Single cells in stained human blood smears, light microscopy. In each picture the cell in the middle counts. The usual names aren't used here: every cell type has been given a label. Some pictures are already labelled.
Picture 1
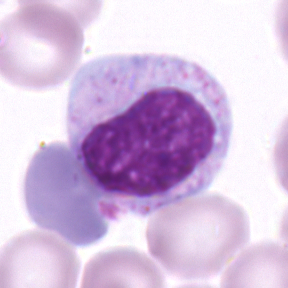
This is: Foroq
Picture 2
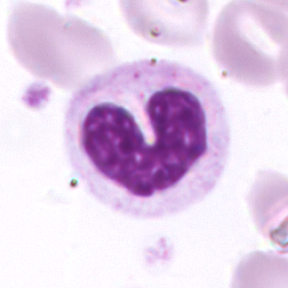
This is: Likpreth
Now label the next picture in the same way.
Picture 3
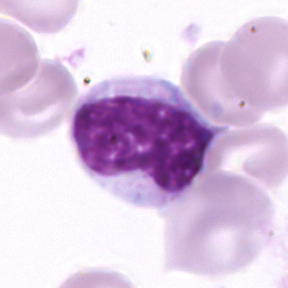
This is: Foroq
